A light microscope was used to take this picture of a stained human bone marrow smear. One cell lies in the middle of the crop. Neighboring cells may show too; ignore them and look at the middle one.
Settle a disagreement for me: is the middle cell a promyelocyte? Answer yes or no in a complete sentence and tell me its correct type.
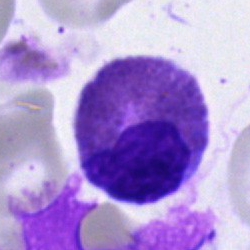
No, instead of a promyelocyte, the middle cell is an eosinophil.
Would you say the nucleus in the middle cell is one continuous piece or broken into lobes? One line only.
The nuclear material is gathered into one compact round, oval or kidney-shaped mass.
